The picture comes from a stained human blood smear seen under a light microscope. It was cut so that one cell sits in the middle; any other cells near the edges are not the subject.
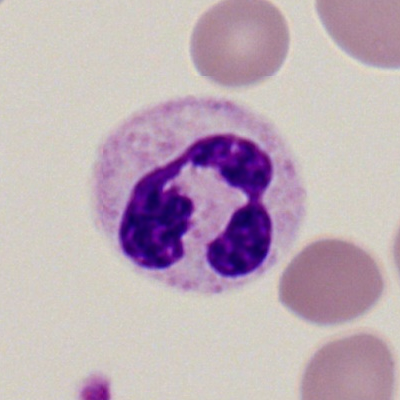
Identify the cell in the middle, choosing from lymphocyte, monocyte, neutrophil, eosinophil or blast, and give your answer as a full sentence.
Present in the middle of the crop is a neutrophil.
